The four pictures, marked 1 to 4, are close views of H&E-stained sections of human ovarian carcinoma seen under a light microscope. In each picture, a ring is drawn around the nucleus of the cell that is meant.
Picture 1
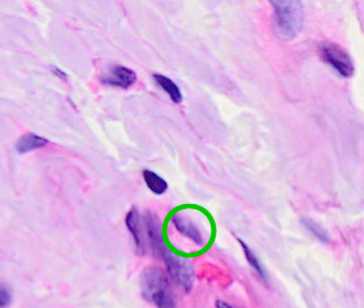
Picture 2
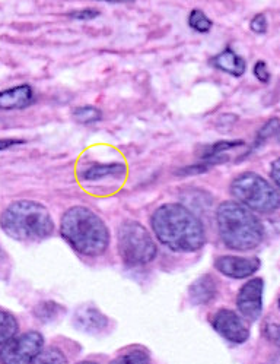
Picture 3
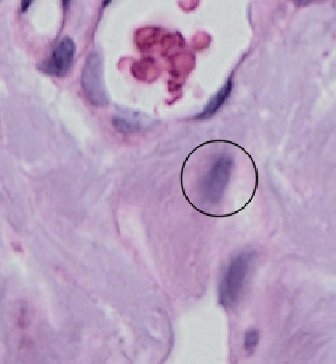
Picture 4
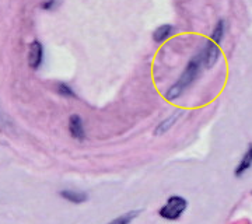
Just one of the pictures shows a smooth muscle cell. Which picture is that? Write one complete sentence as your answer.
The smooth muscle cell is the one in picture 4.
